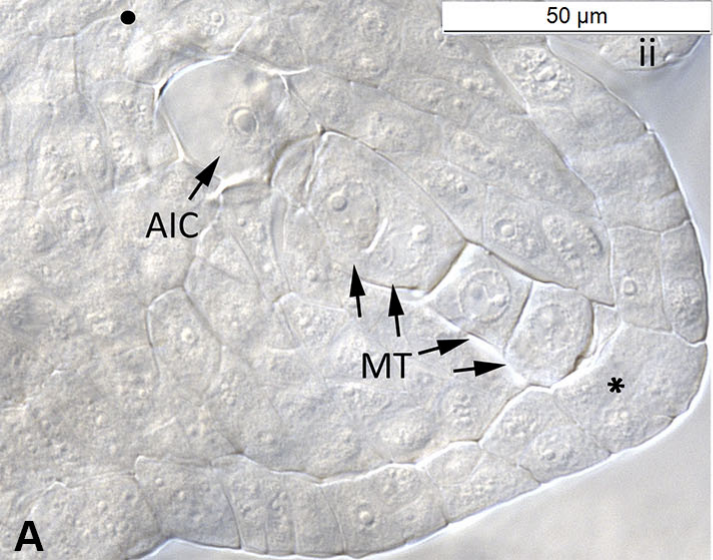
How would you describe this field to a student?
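This is the inside of a young ovule, with a central germline surrounded by layers of small cells of the nucellus and integuments. A short row of cells with clear outlines and nuclei forms a tetrad running toward the rounded end of the ovule. Near the opposite end lies a separate, larger cell with a prominent round nucleus and nucleolus, set apart from the tetrad.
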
